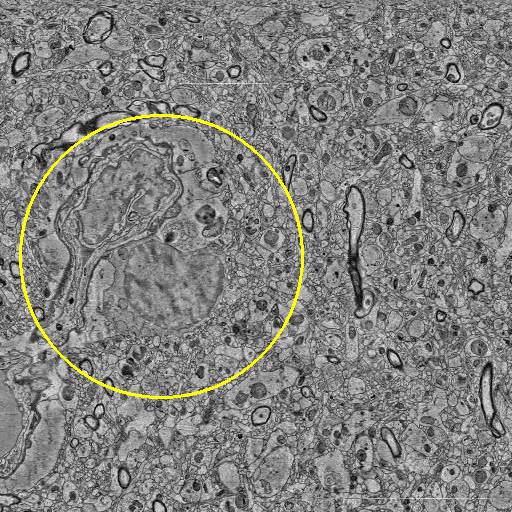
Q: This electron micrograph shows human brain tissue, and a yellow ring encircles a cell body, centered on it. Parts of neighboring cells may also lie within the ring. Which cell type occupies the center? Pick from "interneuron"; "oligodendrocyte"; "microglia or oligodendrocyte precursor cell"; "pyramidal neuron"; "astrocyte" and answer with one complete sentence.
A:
What sits at the ring's center in this micrograph is an oligodendrocyte, among those choices.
